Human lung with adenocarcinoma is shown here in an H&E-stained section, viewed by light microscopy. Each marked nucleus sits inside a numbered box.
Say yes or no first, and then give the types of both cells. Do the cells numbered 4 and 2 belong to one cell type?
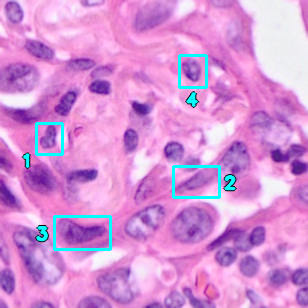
No, the cell numbered 4 is a mast cell and the cell numbered 2 is a carcinoma cell.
